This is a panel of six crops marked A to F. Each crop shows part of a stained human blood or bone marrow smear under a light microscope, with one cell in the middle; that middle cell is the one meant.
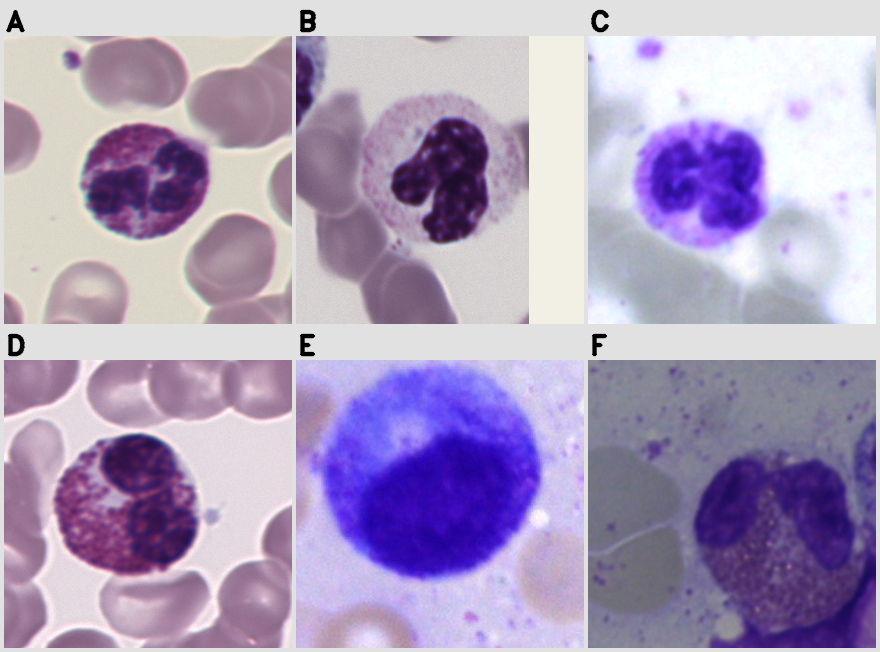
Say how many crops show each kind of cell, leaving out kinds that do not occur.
eosinophil: 3
segmented neutrophil: 2
promyelocyte: 1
